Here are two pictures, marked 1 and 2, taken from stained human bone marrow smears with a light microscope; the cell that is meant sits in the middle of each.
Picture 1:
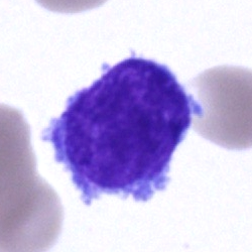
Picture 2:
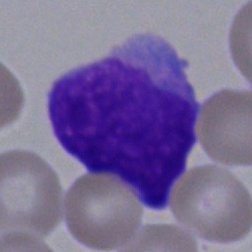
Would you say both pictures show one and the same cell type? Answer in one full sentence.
Yes; the cells in both pictures are blasts.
